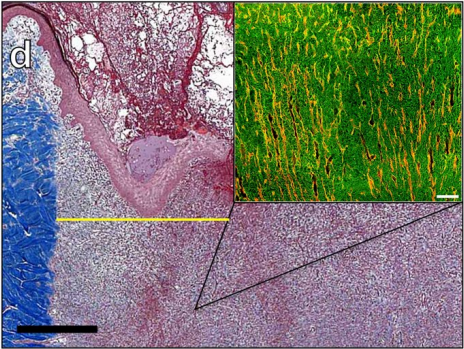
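This is a trichrome-stained section of a healing skin wound, with blue-stained collagen of dermis at the left, a red-staining tongue of epithelium dipping into the wound, and a broad, densely cellular pale purple tissue filling the wound bed beneath it. The inset shows a green-stained matrix crossed by many elongated, roughly parallel red profiles.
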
